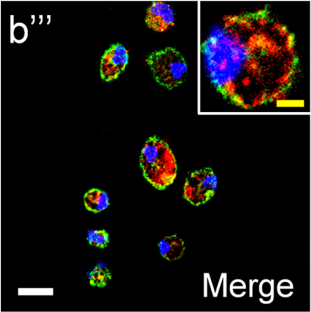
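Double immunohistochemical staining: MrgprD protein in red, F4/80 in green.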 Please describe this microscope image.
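Green outlines the cell periphery as a ring, while red is granular and fills much of the cytoplasm inside it. In the inset the green rim bears small projections around a red-speckled cytoplasm.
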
